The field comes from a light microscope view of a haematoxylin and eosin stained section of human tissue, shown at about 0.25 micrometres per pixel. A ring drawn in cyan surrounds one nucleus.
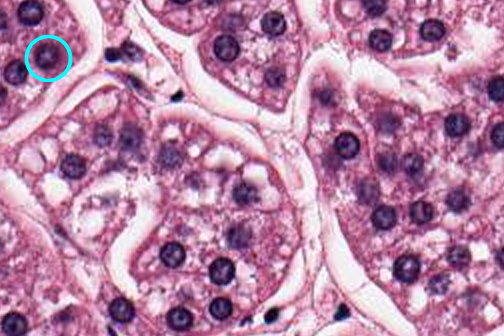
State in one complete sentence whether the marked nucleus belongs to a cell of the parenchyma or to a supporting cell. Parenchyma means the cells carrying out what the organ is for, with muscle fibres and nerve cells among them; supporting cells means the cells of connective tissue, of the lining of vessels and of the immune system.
Belonging to a parenchymal cell, the marked nucleus is that of an adrenal cortical cell.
